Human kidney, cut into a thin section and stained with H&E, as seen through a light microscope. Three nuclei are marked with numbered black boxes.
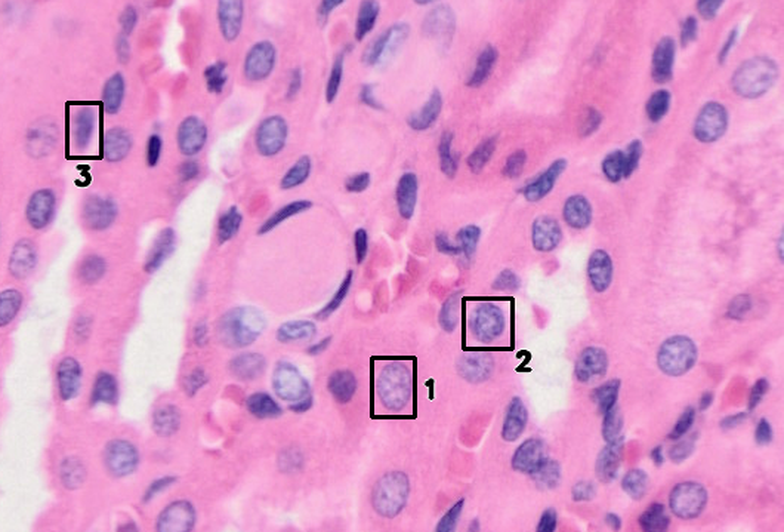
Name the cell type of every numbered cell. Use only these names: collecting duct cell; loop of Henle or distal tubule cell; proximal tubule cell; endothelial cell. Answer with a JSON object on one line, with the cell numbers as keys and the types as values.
{"1": "proximal tubule cell", "2": "loop of Henle or distal tubule cell", "3": "loop of Henle or distal tubule cell"}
